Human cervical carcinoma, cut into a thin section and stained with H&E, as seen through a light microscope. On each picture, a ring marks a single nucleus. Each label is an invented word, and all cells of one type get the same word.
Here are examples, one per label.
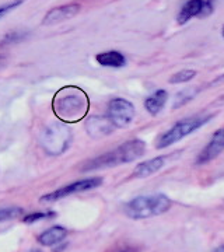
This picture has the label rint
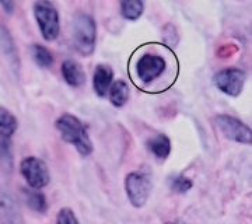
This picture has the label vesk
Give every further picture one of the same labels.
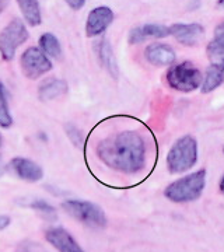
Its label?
rint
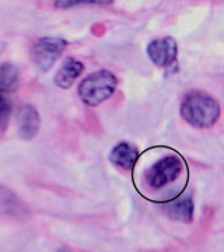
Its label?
vesk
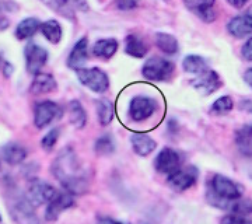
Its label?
vesk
